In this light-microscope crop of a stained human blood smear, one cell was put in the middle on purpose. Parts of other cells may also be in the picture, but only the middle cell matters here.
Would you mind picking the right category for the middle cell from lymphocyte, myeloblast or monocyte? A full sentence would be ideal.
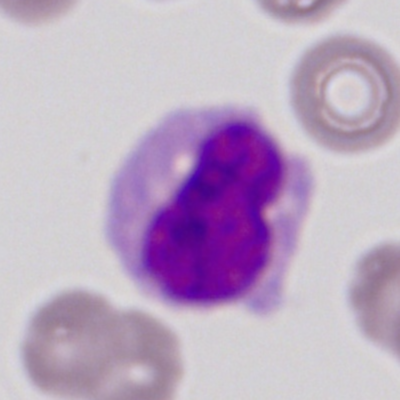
The middle of this crop holds a monocyte.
